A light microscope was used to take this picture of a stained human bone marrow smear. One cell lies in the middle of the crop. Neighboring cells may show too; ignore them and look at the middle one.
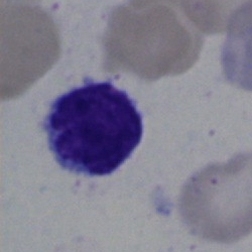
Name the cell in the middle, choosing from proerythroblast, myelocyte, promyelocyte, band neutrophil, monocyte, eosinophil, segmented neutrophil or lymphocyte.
lymphocyte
